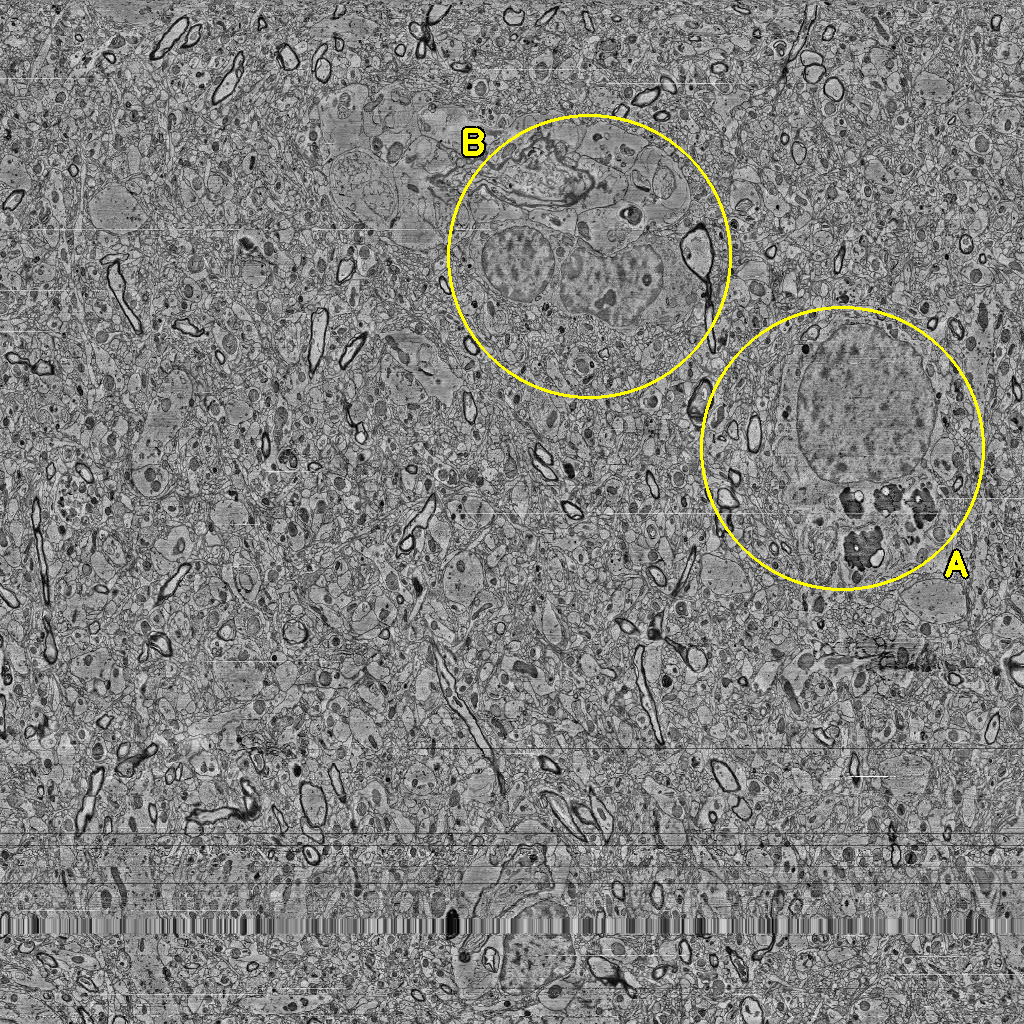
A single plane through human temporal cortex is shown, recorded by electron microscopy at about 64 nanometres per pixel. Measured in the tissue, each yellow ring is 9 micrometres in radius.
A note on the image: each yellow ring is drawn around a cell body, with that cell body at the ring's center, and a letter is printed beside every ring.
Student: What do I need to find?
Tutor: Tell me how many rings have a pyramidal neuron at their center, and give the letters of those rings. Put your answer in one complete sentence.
The lettered rings, all of them, fail to be centred on a pyramidal neuron, so the count is zero.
